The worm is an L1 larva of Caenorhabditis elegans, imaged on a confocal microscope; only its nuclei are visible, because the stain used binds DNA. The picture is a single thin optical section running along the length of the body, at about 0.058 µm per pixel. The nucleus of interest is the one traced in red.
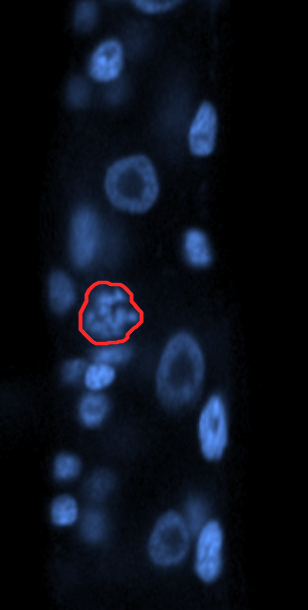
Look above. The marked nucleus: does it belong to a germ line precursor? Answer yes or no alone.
yes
